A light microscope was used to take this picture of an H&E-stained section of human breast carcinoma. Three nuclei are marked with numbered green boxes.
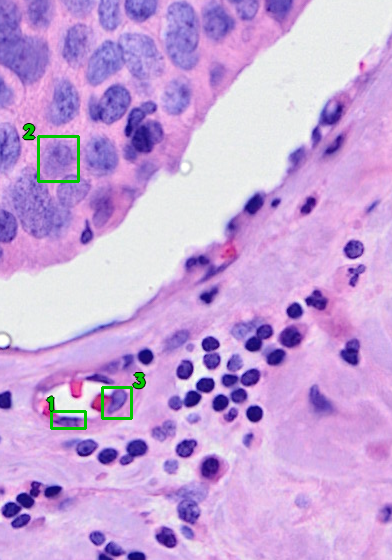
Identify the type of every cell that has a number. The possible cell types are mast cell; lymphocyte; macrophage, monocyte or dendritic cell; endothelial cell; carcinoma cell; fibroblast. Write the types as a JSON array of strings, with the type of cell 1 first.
["endothelial cell", "carcinoma cell", "endothelial cell"]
